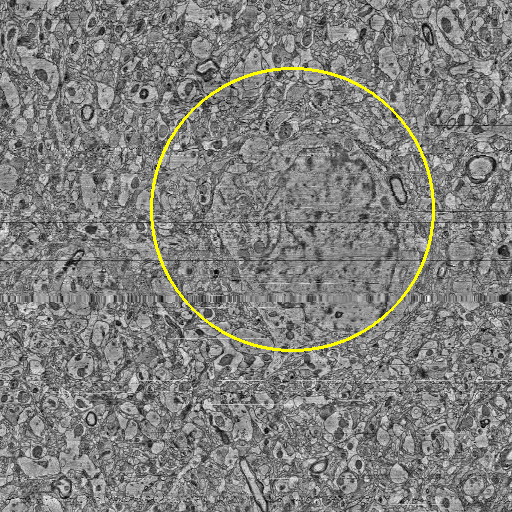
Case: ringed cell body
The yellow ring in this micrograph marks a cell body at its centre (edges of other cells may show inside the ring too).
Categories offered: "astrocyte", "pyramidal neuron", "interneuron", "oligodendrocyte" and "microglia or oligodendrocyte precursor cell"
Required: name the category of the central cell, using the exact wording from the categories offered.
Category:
interneuron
